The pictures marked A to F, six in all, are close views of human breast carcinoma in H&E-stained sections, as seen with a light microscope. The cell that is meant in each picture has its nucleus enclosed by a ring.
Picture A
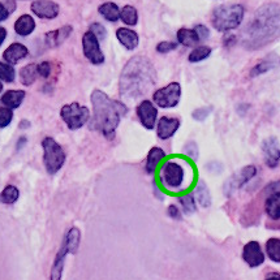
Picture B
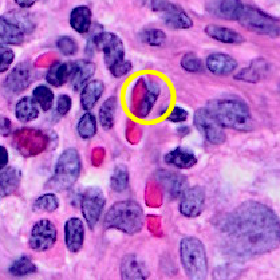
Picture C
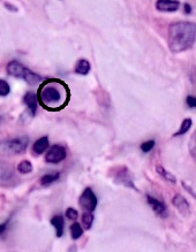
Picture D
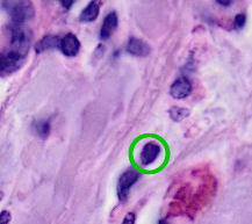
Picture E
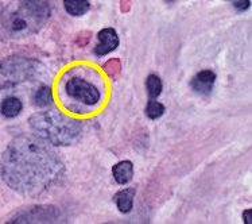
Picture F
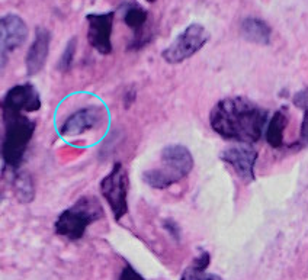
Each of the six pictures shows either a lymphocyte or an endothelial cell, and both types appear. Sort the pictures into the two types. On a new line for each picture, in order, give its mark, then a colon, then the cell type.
A: lymphocyte
B: endothelial cell
C: lymphocyte
D: lymphocyte
E: lymphocyte
F: endothelial cell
